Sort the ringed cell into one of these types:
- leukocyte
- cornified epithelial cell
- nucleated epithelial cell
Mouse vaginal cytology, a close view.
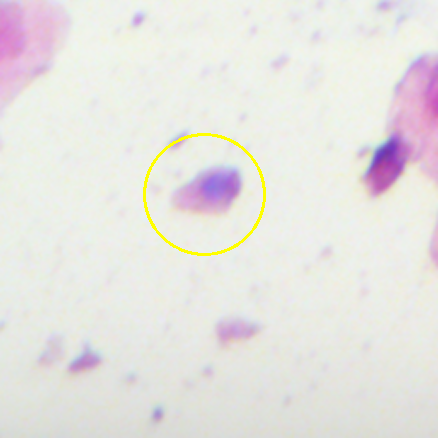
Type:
nucleated epithelial cell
